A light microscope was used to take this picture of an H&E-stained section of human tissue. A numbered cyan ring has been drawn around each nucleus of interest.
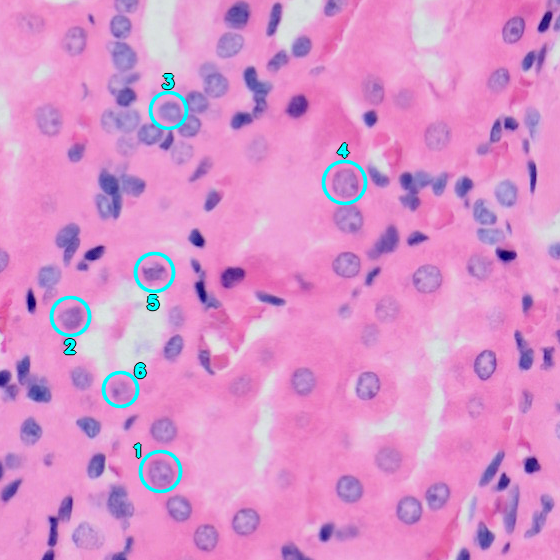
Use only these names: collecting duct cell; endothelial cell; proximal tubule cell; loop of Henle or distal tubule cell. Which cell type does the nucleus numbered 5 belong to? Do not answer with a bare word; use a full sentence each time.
The cell assigned the number 5 is a loop of Henle or distal tubule cell.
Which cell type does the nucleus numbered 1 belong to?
The cell pointed out as number 1 is a proximal tubule cell.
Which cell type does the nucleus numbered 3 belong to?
Cell 3 in the field is a collecting duct cell.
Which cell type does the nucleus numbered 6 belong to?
As for number 6, that cell is a loop of Henle or distal tubule cell.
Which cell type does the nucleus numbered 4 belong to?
The cell whose nucleus carries the number 4 is a proximal tubule cell.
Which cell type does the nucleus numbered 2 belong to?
The cell that goes by number 2 is a loop of Henle or distal tubule cell.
